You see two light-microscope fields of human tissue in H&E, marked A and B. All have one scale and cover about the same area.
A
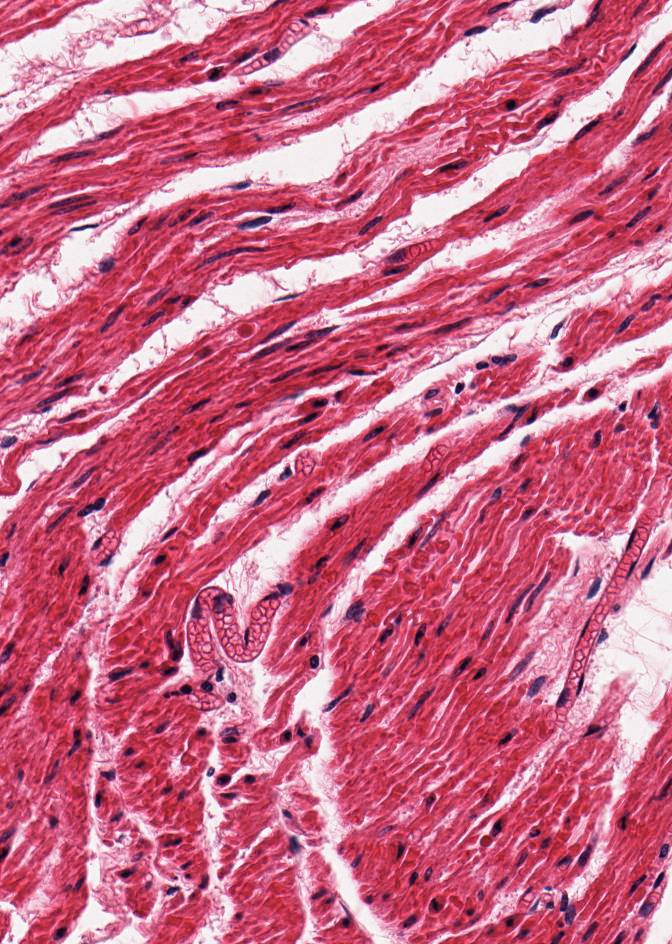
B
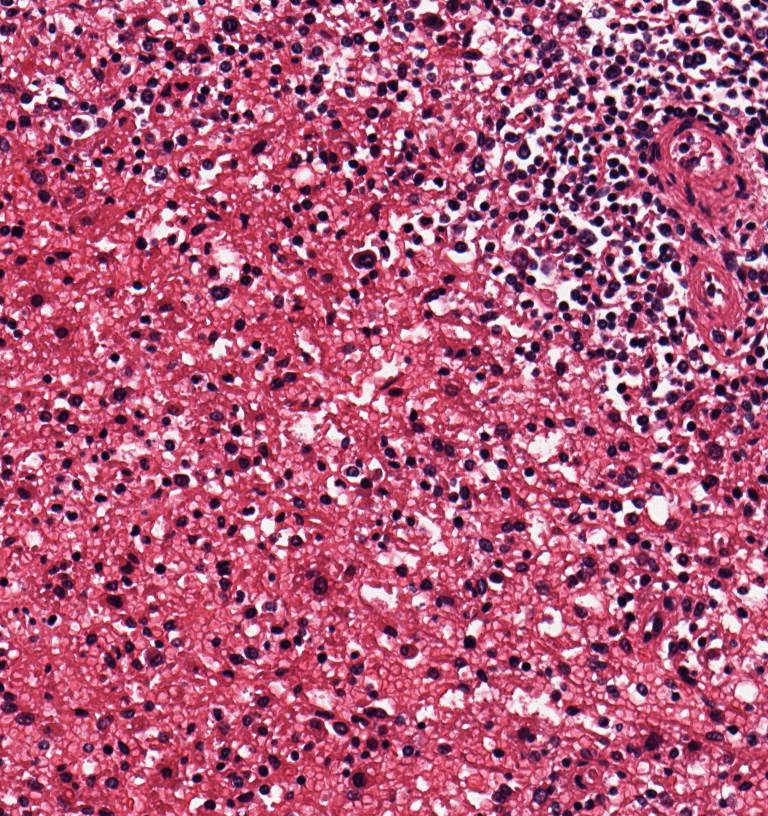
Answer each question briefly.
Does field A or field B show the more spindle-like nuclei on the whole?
A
